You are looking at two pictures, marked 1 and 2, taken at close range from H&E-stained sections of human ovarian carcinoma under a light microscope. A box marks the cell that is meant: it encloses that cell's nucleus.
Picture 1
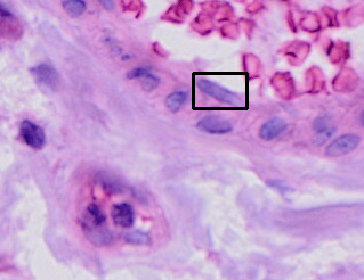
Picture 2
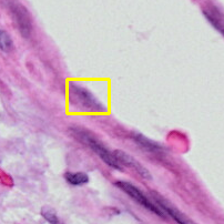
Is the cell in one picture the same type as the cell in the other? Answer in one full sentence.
Yes, the two pictures both show endothelial cells.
